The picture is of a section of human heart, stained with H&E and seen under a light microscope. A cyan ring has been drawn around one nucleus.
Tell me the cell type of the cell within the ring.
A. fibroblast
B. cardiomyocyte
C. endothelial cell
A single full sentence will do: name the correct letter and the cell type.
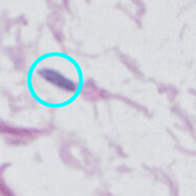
Option A, identifying the cell within the ring as a fibroblast, is correct.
